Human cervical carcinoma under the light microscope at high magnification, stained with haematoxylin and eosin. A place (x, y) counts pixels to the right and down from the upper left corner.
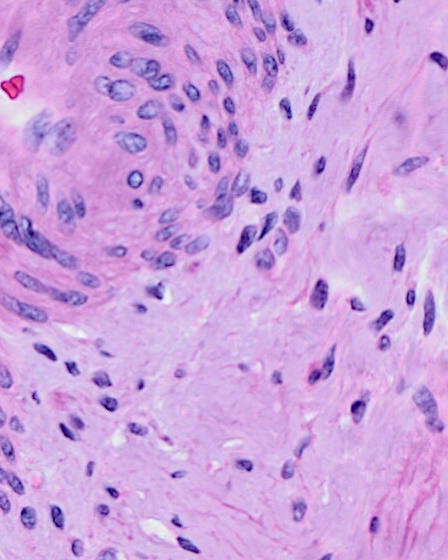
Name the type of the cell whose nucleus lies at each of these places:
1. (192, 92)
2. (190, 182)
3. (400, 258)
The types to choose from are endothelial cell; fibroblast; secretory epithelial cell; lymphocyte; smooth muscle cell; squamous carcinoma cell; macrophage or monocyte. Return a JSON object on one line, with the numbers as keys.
{"1": "smooth muscle cell", "2": "smooth muscle cell", "3": "fibroblast"}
